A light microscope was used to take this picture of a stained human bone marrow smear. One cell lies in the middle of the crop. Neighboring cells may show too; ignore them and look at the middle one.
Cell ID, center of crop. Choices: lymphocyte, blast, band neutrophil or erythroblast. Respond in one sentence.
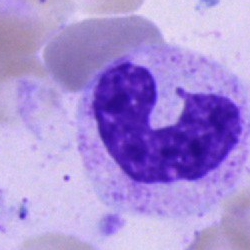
At the crop's centre, the cell is a band neutrophil.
